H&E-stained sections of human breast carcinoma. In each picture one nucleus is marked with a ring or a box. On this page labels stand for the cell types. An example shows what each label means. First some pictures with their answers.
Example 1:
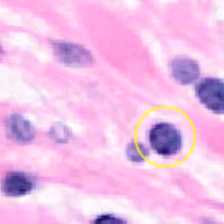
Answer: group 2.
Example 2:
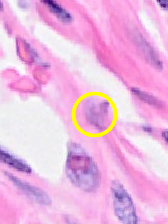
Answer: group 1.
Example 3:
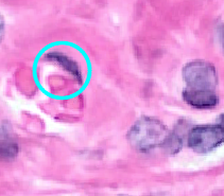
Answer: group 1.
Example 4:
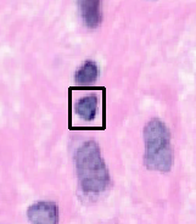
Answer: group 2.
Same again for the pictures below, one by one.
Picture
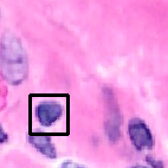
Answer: group 2.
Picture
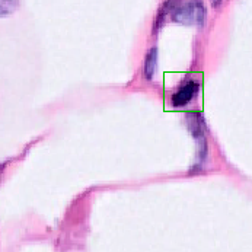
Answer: group 1.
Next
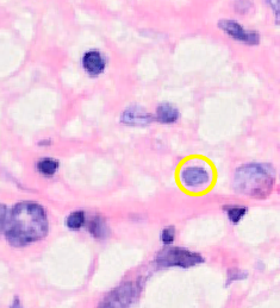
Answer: group 2.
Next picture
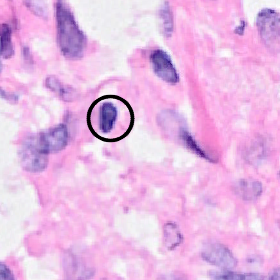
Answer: group 2.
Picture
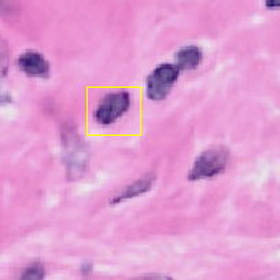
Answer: group 2.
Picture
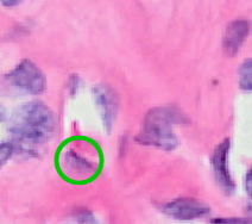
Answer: group 1.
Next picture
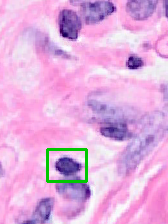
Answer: group 2.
